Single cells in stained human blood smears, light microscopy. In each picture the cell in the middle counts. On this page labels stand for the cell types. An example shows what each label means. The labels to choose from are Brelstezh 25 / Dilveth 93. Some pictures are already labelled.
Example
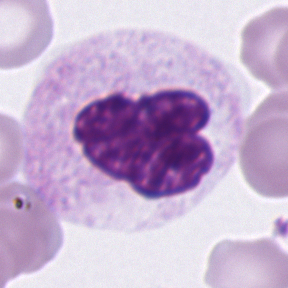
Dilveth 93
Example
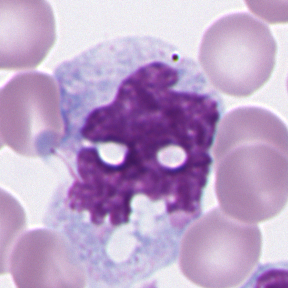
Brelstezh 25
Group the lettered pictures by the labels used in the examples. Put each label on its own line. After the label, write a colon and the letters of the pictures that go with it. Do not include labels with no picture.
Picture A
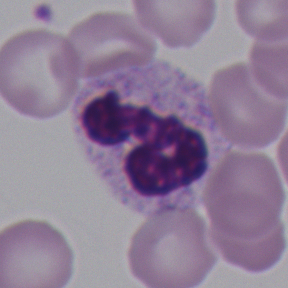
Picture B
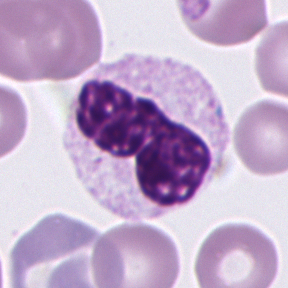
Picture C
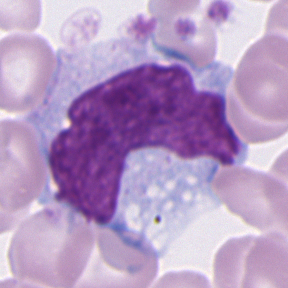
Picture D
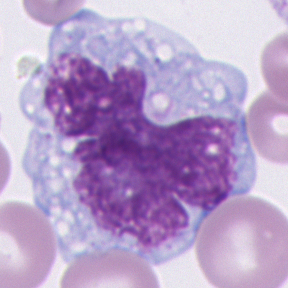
Brelstezh 25: C, D
Dilveth 93: A, B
